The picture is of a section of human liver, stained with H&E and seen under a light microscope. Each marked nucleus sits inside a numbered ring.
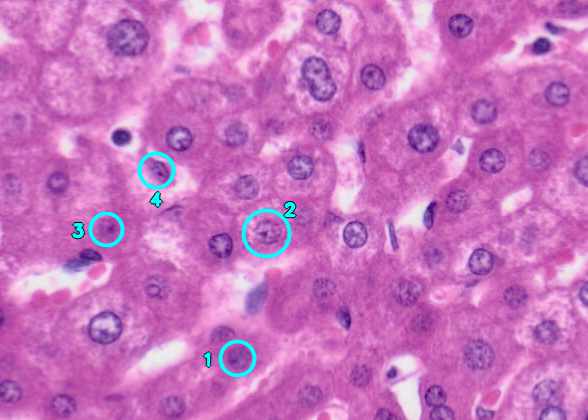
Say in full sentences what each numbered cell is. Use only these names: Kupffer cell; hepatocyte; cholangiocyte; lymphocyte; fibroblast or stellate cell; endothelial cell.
Cell 1 is a hepatocyte, cell 2 is a hepatocyte, cell 3 is a hepatocyte and cell 4 is a Kupffer cell.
